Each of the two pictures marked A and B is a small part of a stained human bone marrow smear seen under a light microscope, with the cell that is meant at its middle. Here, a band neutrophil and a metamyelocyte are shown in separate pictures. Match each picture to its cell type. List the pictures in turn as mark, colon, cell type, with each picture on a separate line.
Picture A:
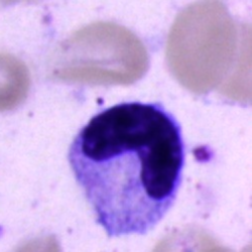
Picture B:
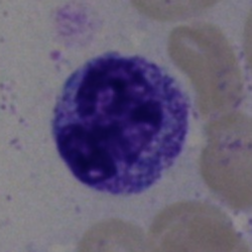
A: band neutrophil
B: metamyelocyte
